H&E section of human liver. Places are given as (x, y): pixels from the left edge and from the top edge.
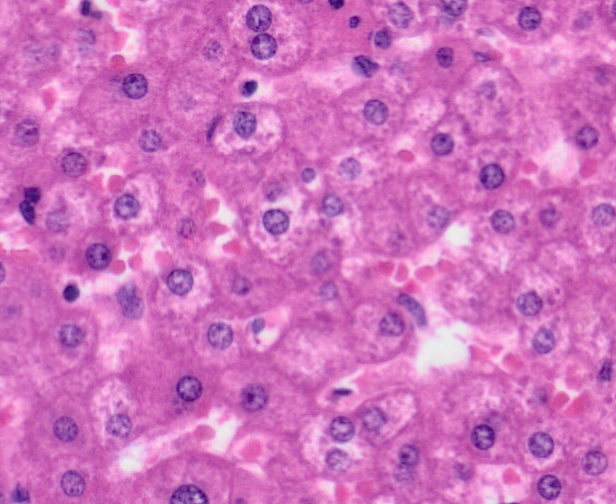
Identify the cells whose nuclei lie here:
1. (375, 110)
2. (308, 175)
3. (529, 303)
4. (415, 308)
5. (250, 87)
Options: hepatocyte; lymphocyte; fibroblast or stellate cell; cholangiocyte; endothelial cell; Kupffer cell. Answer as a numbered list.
1. hepatocyte
2. Kupffer cell
3. hepatocyte
4. Kupffer cell
5. lymphocyte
